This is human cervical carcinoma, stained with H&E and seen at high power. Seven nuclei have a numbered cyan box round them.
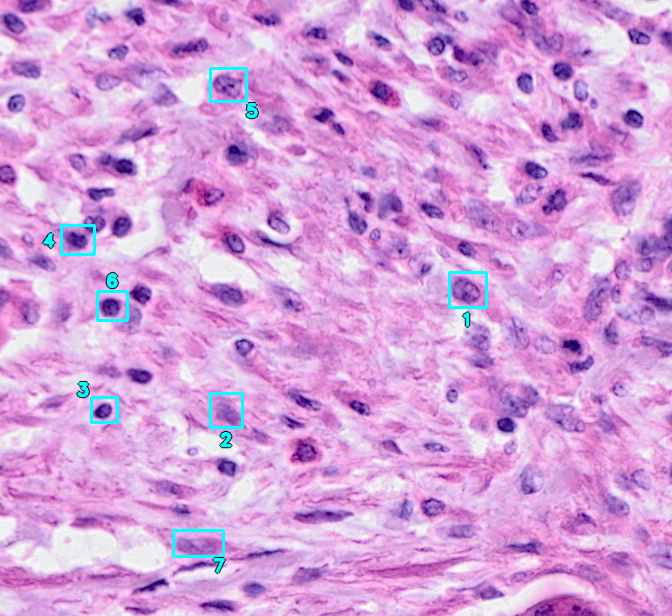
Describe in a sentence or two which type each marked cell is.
Cells 1 and 5 are macrophages or monocytes. Cells 2 and 7 are fibroblasts. Cells 3, 4 and 6 are lymphocytes.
